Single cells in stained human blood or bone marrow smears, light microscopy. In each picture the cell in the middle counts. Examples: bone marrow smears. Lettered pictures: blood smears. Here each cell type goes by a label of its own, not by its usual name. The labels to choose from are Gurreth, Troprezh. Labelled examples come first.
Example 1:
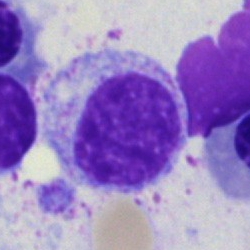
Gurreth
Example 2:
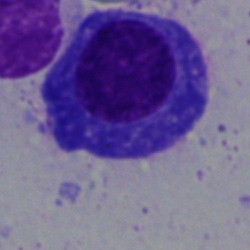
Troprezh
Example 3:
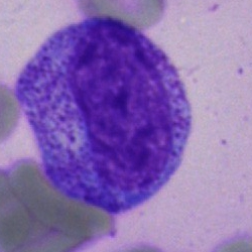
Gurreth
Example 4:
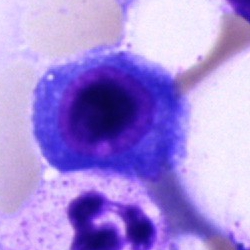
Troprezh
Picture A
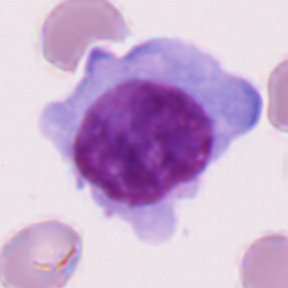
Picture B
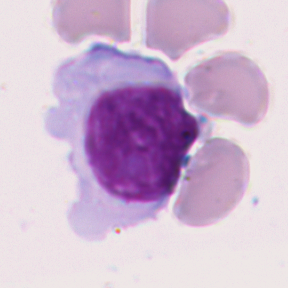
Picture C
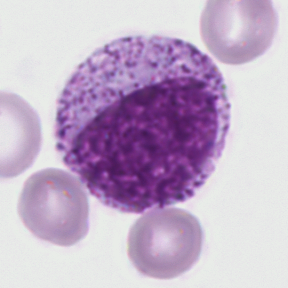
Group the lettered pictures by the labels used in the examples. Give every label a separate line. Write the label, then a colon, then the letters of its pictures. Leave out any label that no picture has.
Gurreth: C
Troprezh: A, B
